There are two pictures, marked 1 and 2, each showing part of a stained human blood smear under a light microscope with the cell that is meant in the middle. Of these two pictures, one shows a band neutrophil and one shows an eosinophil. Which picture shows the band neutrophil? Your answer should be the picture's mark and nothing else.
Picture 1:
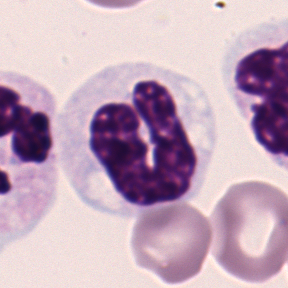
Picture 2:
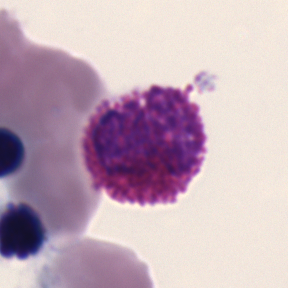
1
